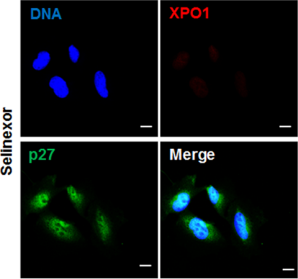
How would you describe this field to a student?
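The red channel is very faint. The green signal is strongest over the nuclei, with weaker green in the surrounding cytoplasm outlining the spread cells. In the merged image the nuclei appear bright cyan, showing overlap of the green and blue signals.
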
